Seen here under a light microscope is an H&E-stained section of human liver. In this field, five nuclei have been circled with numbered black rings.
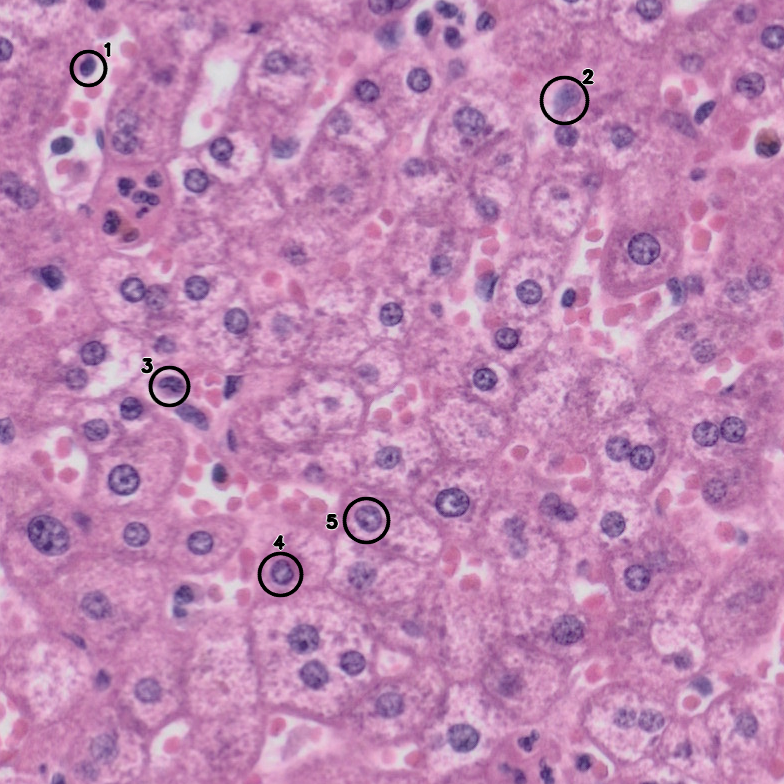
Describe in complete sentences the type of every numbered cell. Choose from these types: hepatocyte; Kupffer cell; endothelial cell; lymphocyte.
Cell 1 is a lymphocyte. Cell 2 is an endothelial cell. Cell 3 is a Kupffer cell. Cells 4 and 5 are hepatocytes.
